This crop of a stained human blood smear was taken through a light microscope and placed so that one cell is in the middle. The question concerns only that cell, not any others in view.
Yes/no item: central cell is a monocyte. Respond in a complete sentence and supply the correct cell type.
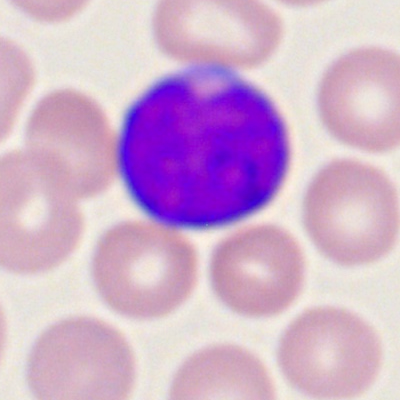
No, it isn't a monocyte; what sits in the middle is a myeloblast.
